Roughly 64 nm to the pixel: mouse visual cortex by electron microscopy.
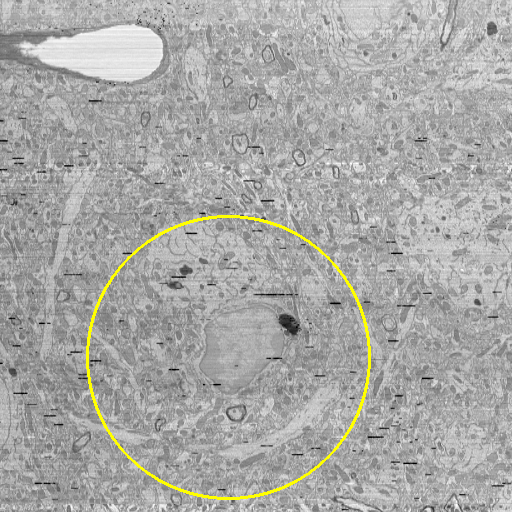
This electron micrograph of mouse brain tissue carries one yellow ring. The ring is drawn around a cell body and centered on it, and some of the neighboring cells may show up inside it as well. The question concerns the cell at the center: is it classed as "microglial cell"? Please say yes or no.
Yes, it is classed that way.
